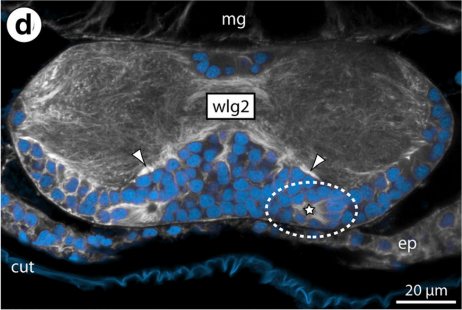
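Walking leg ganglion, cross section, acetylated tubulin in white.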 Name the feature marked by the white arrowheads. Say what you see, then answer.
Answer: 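Ventral longitudinal tracts. The arrowheads point to small bright fibre bundles at the border between the fibrous neuropil and the layer of nuclei. The bundles lie on the ventral side of the neuropil.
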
